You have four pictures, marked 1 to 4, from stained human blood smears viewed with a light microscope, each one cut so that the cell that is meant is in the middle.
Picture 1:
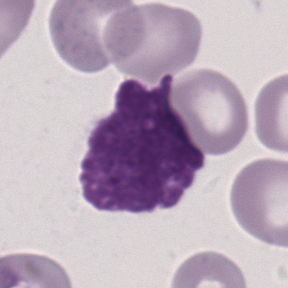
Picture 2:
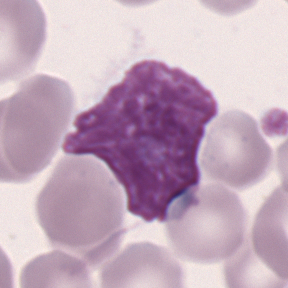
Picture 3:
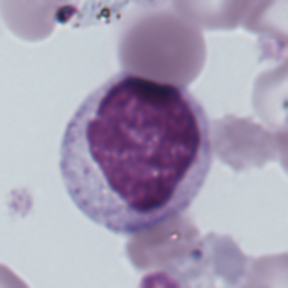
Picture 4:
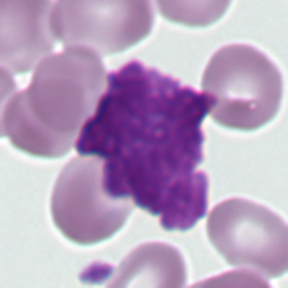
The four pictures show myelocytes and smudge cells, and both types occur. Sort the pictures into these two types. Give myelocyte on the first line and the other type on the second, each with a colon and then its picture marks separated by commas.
myelocyte: 3
smudge cell: 1, 2, 4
